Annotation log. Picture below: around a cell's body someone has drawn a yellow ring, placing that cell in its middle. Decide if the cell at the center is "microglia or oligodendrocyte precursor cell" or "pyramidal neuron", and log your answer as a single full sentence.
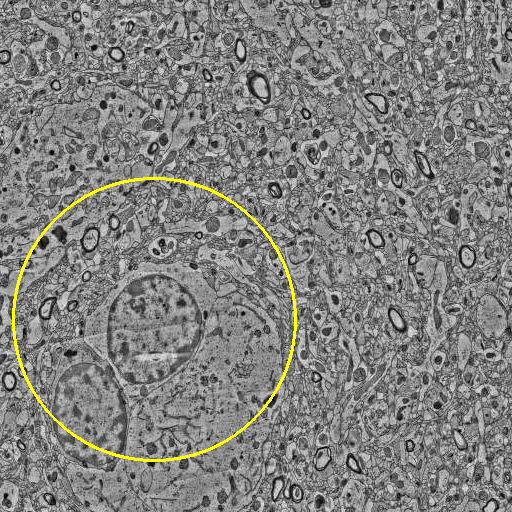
My entry records a microglial cell or oligodendrocyte precursor cell as the cell sitting at the center of the yellow ring.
